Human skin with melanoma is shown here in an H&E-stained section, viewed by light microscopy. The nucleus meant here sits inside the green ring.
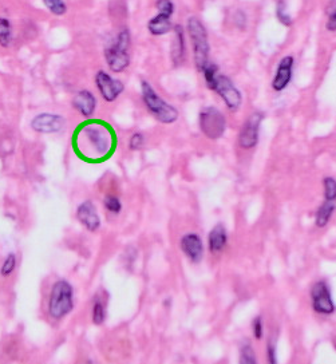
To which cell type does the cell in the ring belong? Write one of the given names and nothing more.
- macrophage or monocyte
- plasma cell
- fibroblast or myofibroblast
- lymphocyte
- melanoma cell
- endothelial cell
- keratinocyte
macrophage or monocyte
